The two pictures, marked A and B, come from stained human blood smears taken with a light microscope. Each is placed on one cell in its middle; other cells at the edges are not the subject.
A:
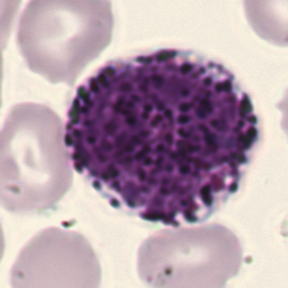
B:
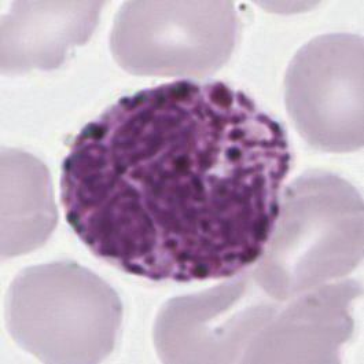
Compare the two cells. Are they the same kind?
yes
